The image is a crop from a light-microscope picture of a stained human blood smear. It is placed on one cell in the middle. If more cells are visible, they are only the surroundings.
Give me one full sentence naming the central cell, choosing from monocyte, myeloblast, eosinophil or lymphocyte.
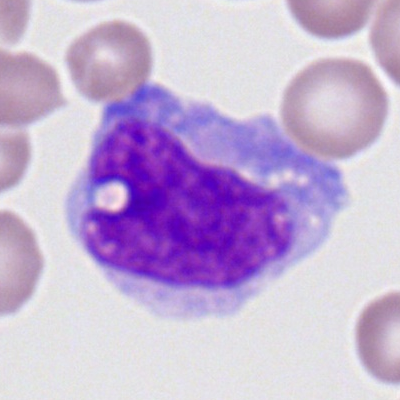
By type, the central cell of the crop is a monocyte.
